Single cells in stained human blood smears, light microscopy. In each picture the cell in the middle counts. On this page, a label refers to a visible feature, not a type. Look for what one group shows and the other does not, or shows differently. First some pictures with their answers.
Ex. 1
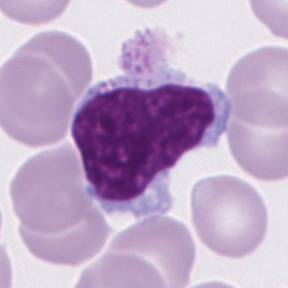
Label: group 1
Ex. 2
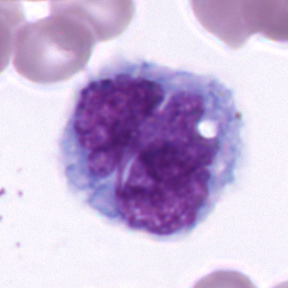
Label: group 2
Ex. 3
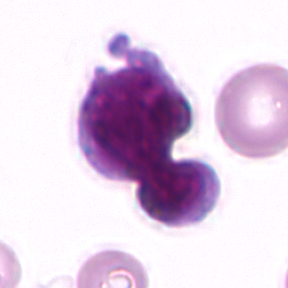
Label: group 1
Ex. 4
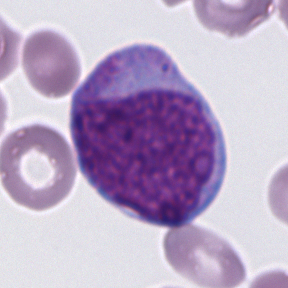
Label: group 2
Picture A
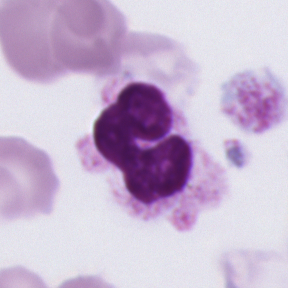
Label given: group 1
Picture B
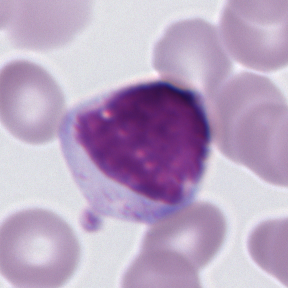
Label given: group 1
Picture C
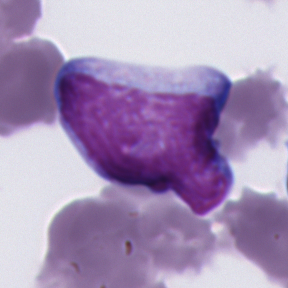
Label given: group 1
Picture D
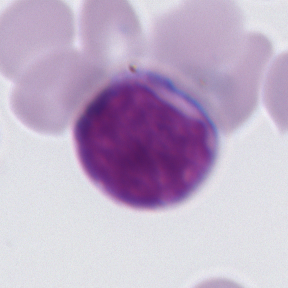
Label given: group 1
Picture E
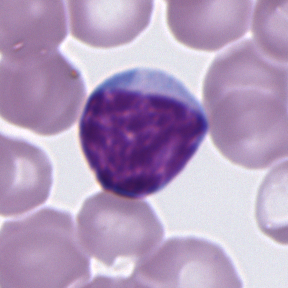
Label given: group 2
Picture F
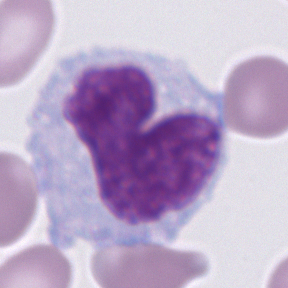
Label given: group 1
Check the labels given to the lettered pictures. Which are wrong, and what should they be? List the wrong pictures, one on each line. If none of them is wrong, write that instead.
D: change group 1 to group 2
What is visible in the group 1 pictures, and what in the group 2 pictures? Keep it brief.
In group 1: ragged outline or projections. In group 2: smooth outline.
